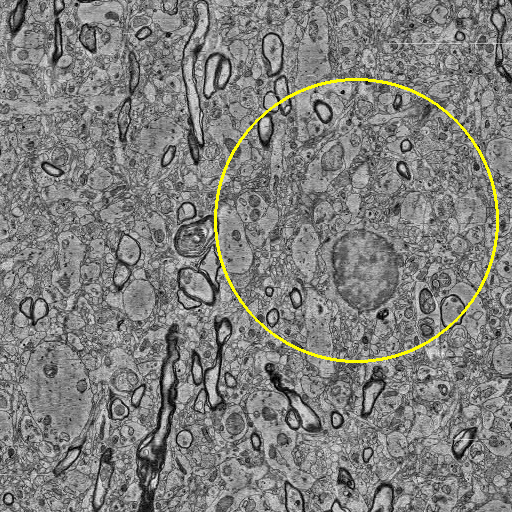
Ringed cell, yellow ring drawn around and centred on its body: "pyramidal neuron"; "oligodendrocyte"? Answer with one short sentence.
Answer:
This ringed cell is an oligodendrocyte.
